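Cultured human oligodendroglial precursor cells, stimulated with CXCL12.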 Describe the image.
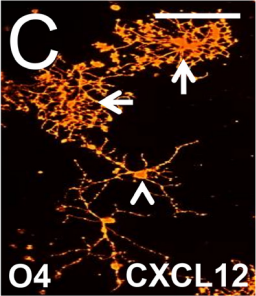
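Two cells at the top carry complex morphologies: from a small body radiates a dense, finely branched web of processes studded with small swellings, filling a broad area around the cell. Below them lies a cell with fewer processes, a small bright body from which a handful of long, thin, sparsely branching processes extend across the field.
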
